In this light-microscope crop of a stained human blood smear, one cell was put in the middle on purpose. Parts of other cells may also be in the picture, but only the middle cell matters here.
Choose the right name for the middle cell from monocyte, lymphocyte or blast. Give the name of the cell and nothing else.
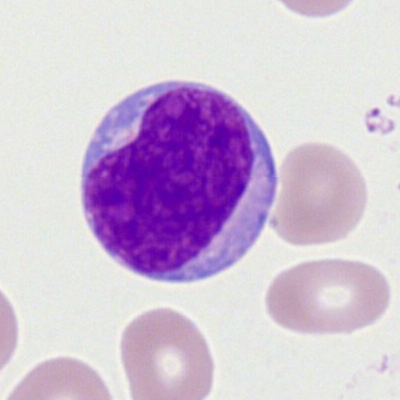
blast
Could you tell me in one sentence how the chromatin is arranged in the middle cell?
Thanks for asking; the chromatin is coarsely clumped.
